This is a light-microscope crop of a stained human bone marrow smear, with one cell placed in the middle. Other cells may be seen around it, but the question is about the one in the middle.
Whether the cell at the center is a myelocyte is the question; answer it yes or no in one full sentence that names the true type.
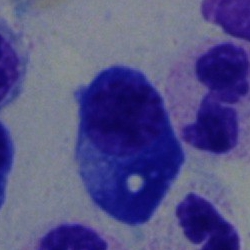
No, the cell under consideration is a plasma cell instead of a myelocyte.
